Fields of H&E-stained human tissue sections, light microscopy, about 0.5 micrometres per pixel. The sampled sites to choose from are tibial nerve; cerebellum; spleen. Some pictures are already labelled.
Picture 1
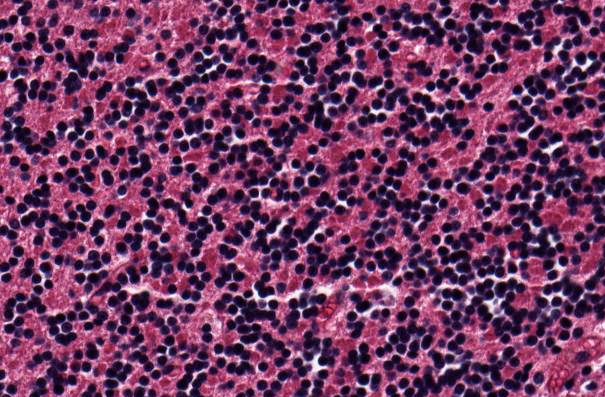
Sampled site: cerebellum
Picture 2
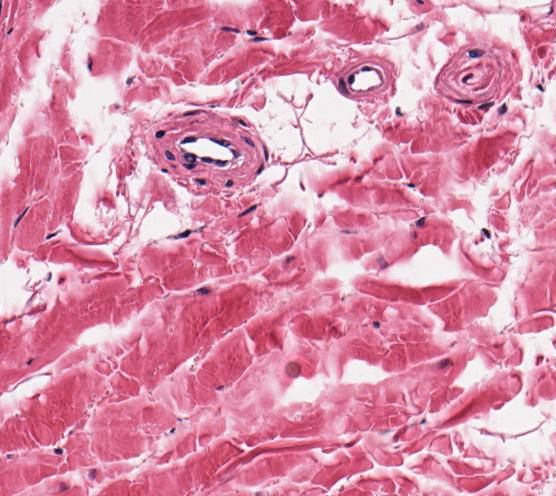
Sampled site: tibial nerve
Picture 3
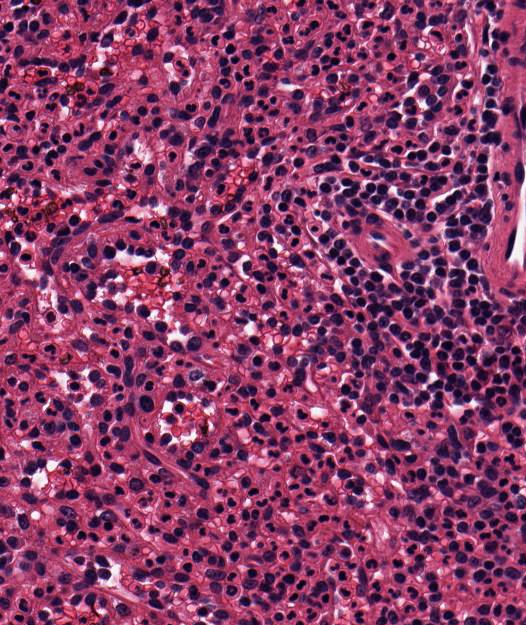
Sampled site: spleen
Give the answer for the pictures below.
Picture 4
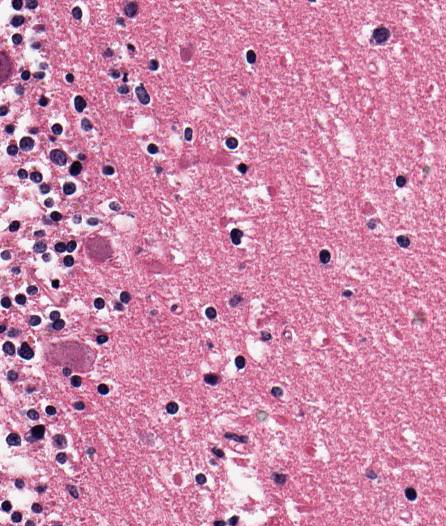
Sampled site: cerebellum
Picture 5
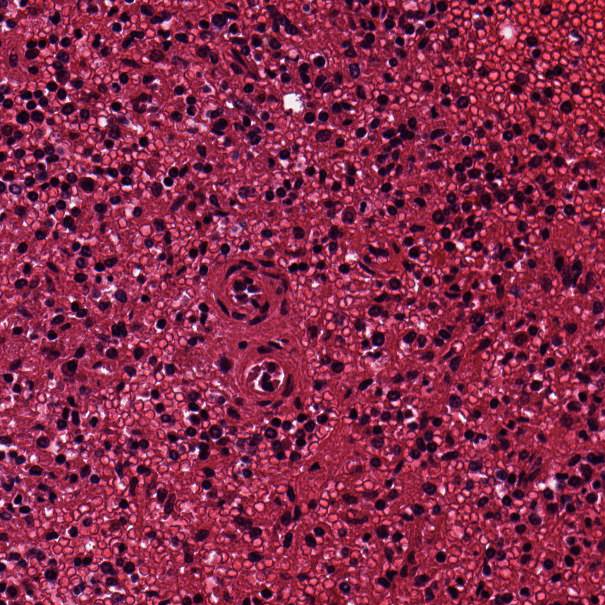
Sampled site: spleen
